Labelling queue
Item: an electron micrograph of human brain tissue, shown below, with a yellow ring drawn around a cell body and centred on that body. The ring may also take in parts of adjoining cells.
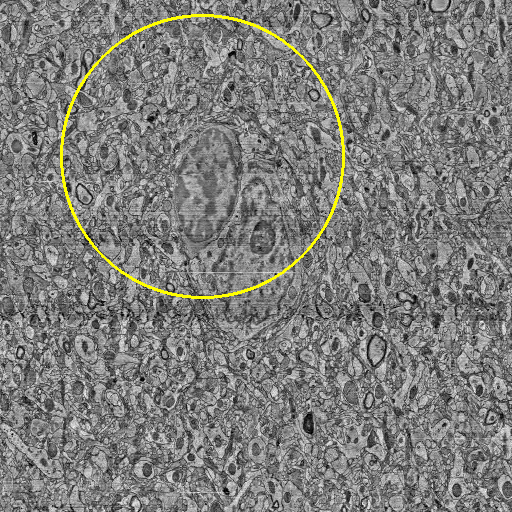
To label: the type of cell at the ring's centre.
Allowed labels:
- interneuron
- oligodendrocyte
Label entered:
oligodendrocyte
